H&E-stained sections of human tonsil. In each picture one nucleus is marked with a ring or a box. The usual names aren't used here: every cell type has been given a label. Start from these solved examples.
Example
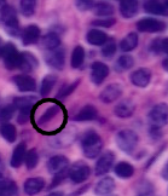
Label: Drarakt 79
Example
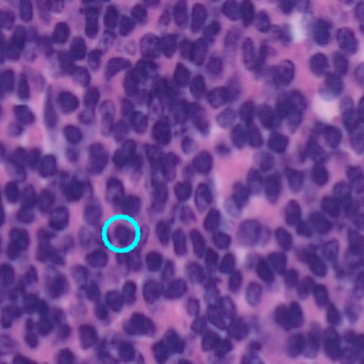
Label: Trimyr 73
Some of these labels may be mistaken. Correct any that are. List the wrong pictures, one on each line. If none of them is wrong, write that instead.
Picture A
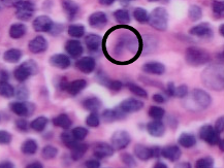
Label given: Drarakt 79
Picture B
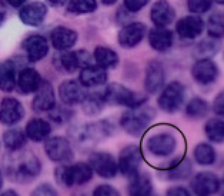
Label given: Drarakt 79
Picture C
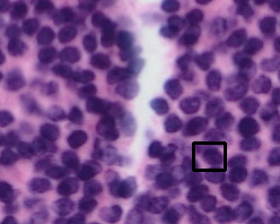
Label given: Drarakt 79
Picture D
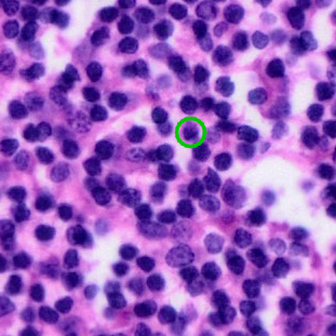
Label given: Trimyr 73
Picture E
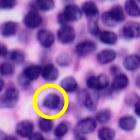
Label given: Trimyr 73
Wrong: B (Drarakt 79); correct: Trimyr 73
Wrong: C (Drarakt 79); correct: Trimyr 73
